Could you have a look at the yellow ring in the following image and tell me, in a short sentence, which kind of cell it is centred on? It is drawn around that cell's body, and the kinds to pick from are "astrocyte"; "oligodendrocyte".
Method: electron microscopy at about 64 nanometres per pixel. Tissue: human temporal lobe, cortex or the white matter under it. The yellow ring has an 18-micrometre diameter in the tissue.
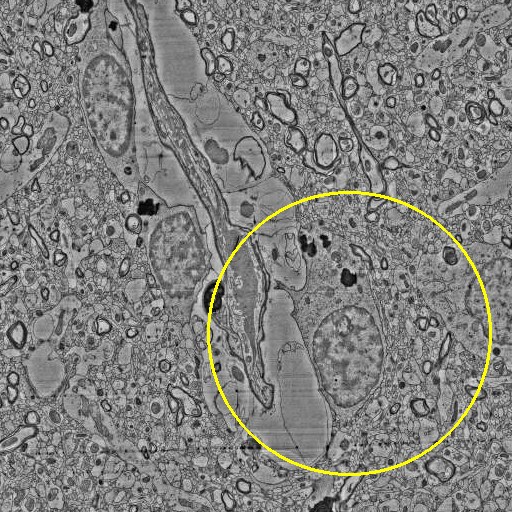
The ring is centred on the body of an oligodendrocyte.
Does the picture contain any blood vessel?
Yes, one is visible.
